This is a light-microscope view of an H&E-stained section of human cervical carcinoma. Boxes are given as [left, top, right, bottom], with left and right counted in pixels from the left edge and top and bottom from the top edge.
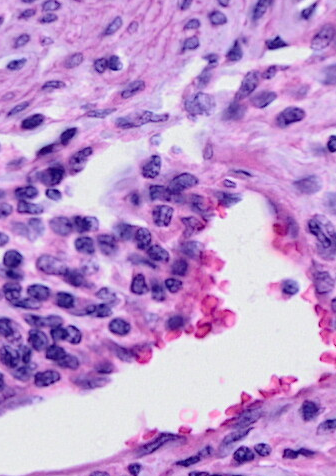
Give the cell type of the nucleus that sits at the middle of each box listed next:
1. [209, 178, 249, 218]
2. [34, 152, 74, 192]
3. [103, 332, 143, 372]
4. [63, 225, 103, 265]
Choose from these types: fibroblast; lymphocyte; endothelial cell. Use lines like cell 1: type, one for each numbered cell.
cell 1: endothelial cell
cell 2: lymphocyte
cell 3: endothelial cell
cell 4: lymphocyte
